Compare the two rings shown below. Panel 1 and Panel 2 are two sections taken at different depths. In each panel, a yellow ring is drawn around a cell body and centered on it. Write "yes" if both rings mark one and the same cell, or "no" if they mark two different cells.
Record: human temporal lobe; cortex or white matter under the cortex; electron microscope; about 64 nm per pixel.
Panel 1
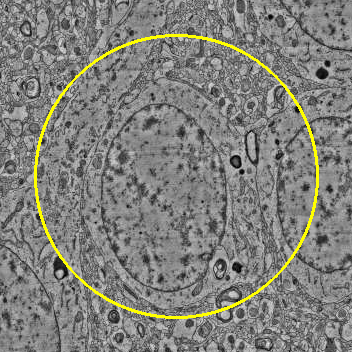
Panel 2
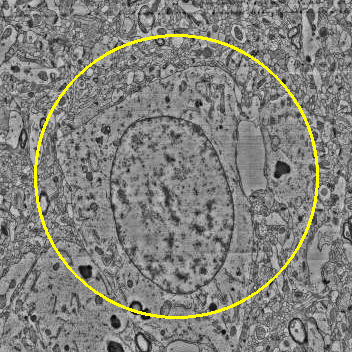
no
